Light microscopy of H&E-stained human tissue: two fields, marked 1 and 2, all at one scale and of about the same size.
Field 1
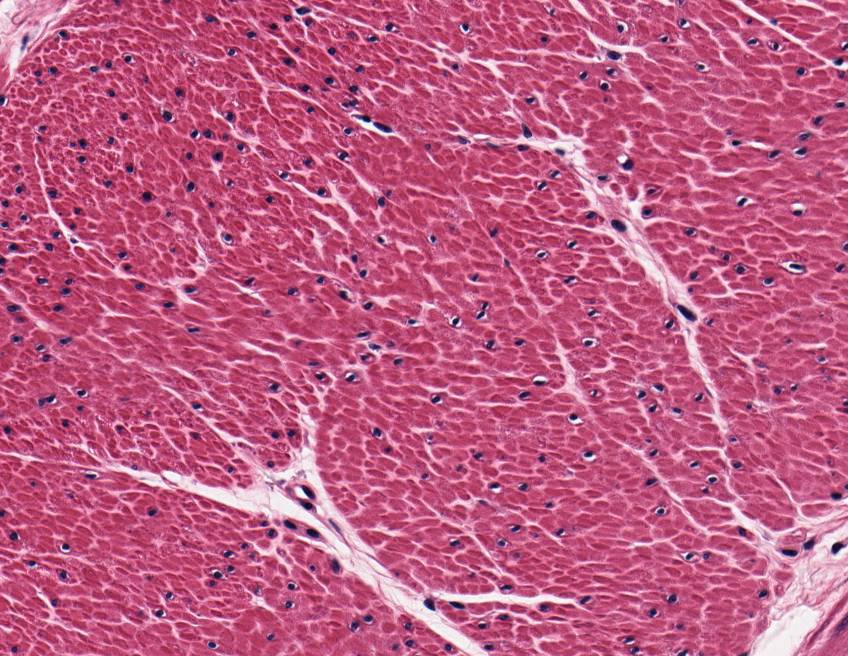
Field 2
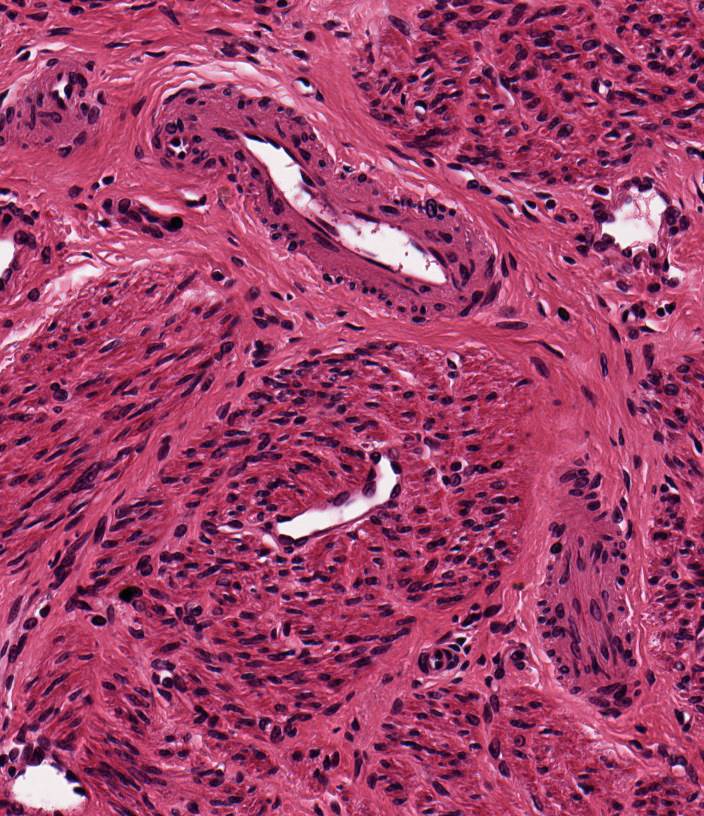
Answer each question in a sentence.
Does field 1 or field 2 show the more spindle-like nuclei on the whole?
It is field 2 whose nuclei are the more elongated.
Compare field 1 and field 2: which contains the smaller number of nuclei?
Fewer nuclei lie in field 1 than in field 2.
